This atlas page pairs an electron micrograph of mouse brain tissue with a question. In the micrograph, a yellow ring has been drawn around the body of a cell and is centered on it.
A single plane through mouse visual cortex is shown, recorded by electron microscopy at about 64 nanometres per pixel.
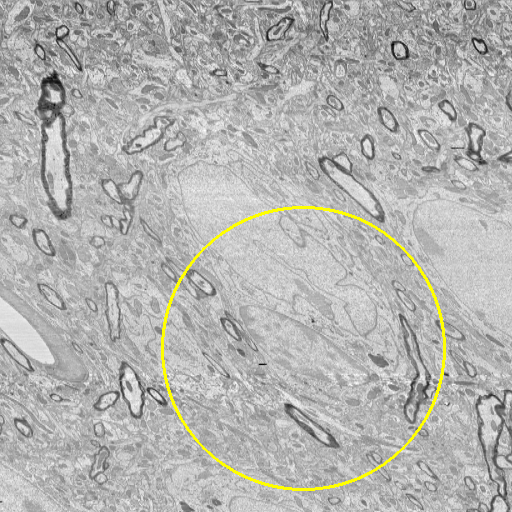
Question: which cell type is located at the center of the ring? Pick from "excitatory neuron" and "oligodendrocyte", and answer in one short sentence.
Located at the center of the ring is an oligodendrocyte.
